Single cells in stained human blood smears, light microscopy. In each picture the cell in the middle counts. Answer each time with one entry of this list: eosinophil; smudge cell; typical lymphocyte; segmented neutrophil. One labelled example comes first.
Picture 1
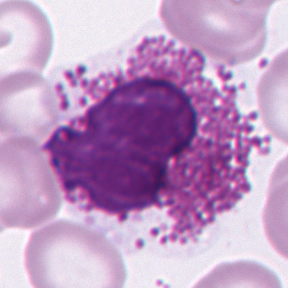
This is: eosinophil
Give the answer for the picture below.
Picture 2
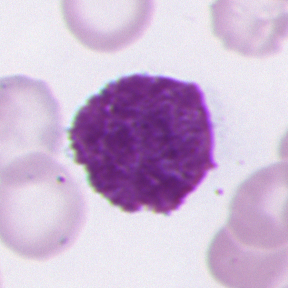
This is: smudge cell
